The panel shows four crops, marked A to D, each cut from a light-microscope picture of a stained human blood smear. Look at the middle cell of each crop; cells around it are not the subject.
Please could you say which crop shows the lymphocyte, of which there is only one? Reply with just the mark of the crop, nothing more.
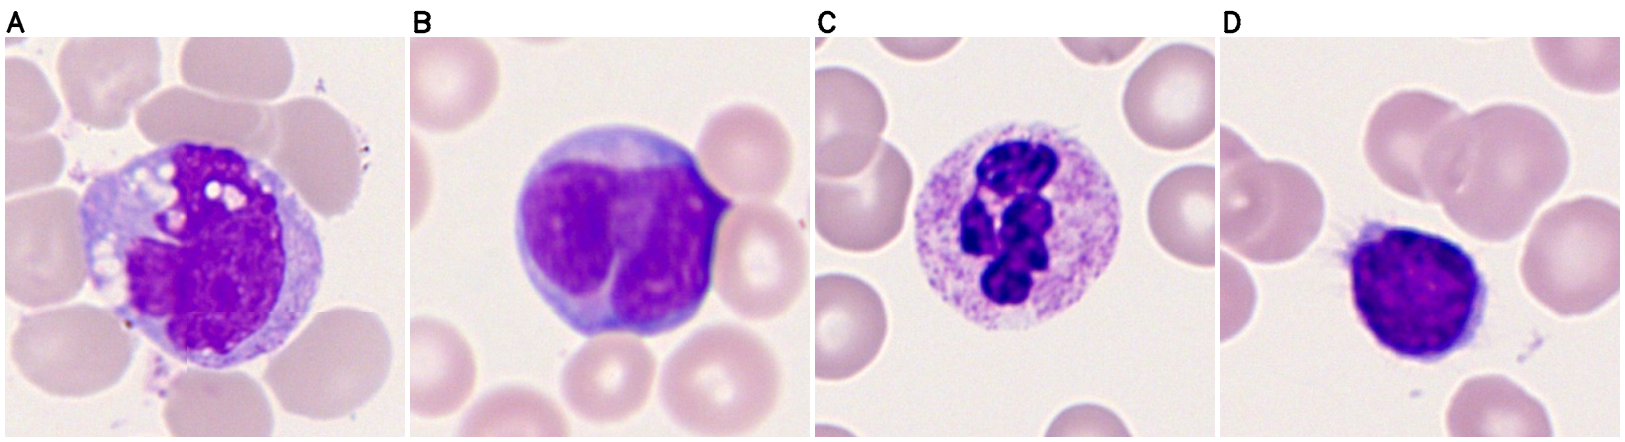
D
